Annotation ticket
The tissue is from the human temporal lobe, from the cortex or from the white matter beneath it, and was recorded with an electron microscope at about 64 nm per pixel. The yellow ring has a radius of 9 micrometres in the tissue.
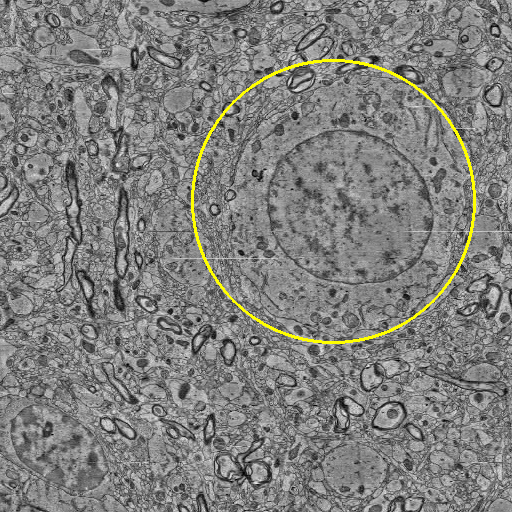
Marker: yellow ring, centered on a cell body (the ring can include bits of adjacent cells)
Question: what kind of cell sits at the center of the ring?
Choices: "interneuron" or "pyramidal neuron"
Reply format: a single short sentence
The ring is centered on an interneuron.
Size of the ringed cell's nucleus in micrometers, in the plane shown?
About 10 micrometres across in this plane, for the nucleus.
